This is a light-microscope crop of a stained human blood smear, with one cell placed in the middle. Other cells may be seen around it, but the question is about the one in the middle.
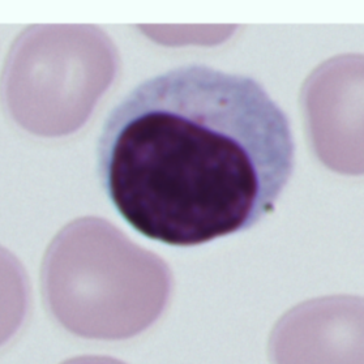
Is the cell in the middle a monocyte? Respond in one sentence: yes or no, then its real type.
No, the central cell is not a monocyte; it is a large granular lymphocyte.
